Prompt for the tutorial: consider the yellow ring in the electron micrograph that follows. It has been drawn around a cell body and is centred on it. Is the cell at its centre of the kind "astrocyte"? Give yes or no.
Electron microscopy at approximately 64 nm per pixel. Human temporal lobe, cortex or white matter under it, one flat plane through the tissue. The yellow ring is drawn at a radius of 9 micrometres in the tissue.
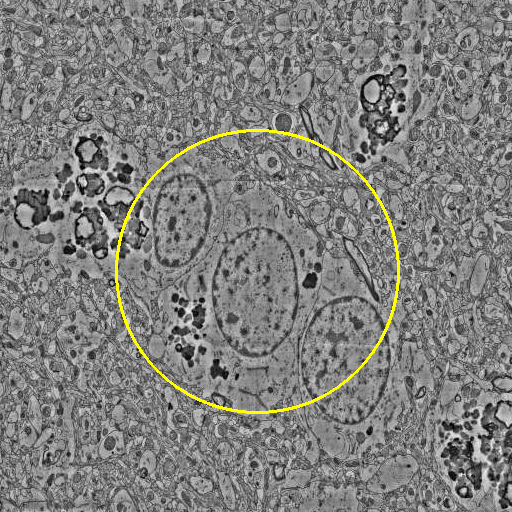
yes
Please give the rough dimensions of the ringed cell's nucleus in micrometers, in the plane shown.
The nucleus comes to approximately 9 by 6 micrometres and is clearly longer than it is wide in this plane.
